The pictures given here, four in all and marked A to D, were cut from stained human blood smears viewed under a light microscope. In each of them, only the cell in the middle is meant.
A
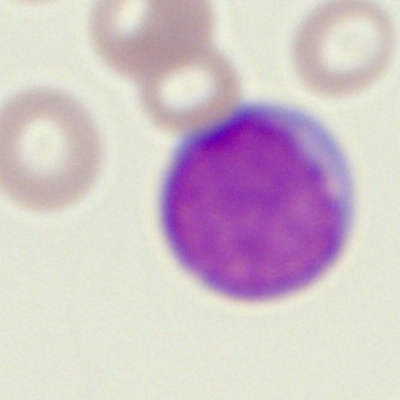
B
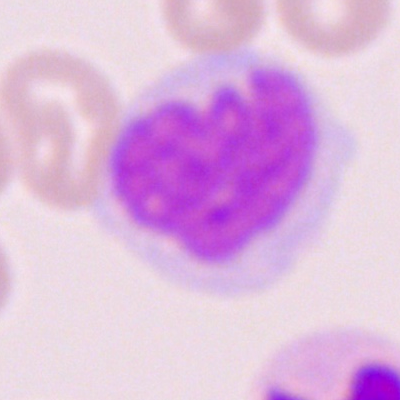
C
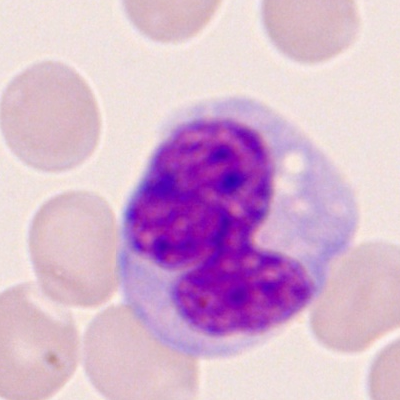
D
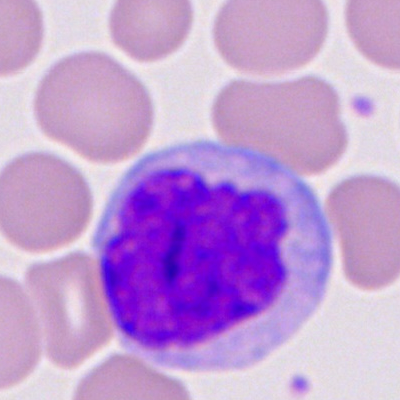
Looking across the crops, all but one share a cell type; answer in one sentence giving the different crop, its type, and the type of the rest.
Of all the crops, only crop A shows a myeloblast; the others show monocytes.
